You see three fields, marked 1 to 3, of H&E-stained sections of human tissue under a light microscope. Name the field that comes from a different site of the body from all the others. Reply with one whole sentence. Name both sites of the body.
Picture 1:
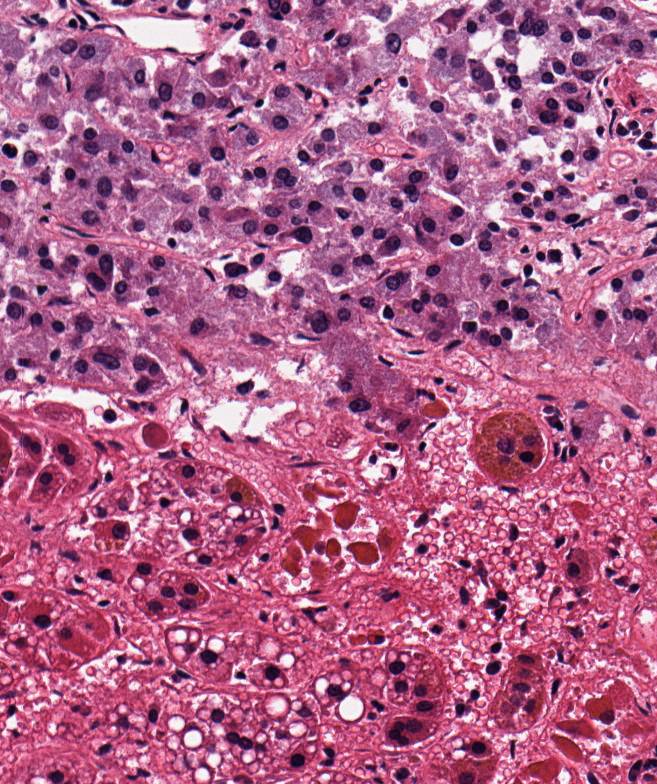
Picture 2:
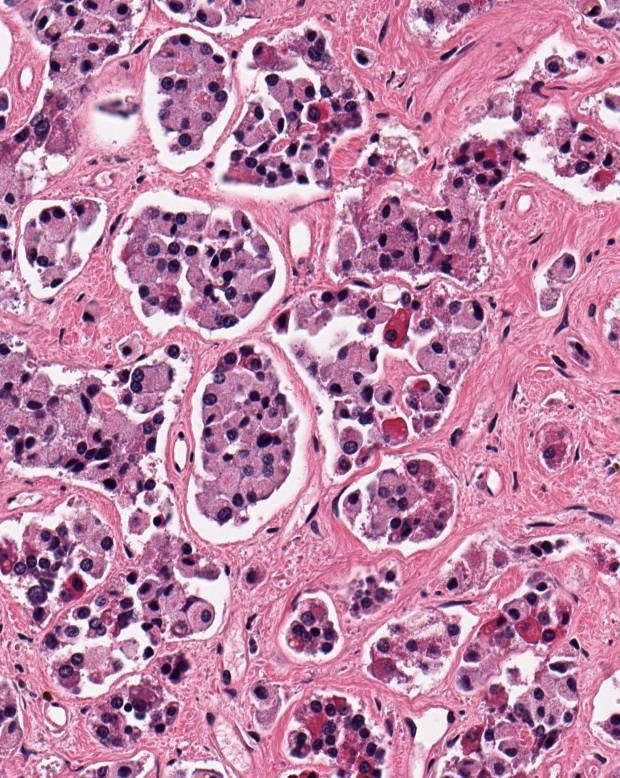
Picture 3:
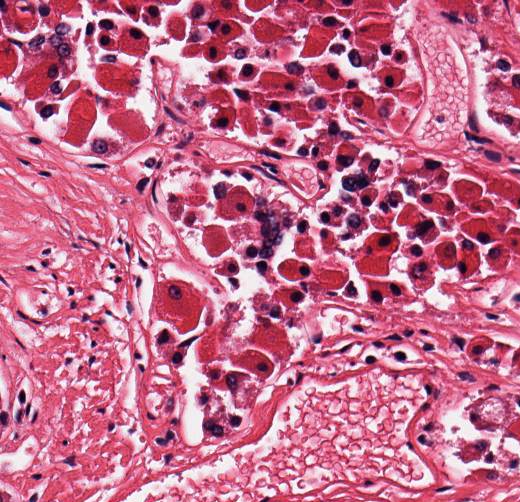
The others come from the pituitary, but picture 1 comes from the adrenal gland.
